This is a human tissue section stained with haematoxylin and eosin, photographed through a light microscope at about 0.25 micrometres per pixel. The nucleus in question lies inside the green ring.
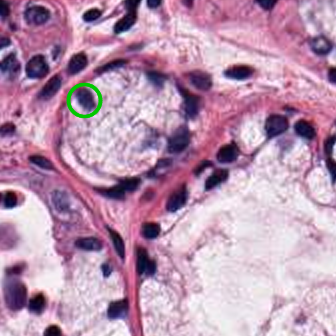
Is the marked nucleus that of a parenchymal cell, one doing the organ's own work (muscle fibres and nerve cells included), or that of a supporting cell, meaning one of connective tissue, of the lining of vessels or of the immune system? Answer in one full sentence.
The marked nucleus is assigned to a parenchymal cell, namely a mucous gland cell.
